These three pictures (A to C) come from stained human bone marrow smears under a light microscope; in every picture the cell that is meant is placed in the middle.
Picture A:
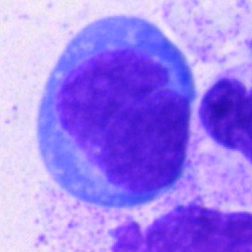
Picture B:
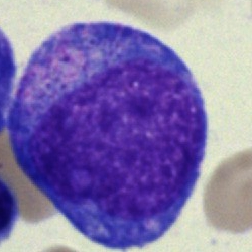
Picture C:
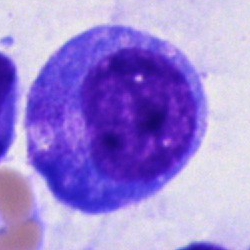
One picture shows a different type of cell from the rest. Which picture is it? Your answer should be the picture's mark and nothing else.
C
